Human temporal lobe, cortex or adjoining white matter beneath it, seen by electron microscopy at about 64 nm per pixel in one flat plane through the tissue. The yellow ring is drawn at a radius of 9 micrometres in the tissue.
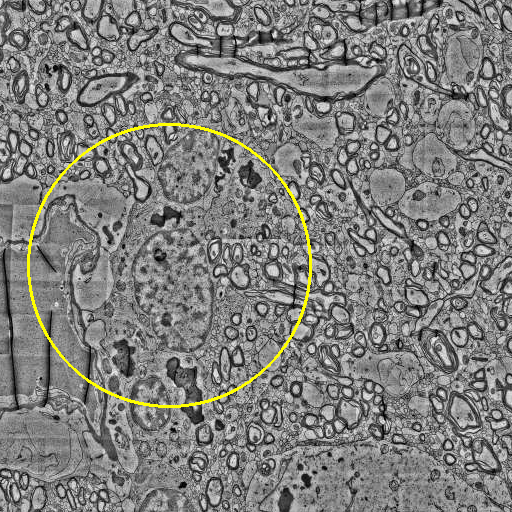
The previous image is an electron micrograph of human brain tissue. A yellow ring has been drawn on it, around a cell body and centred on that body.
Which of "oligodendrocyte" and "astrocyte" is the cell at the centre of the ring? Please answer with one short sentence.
The cell body at the centre of the ring belongs to an oligodendrocyte.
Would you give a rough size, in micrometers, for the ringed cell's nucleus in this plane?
About 8 by 5 micrometers, in this plane.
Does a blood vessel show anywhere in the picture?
Yes, there is one.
